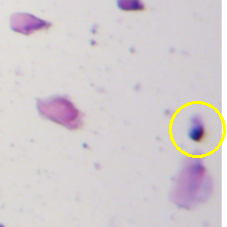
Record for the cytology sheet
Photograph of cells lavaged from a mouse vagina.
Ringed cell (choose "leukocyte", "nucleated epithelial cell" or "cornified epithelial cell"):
nucleated epithelial cell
